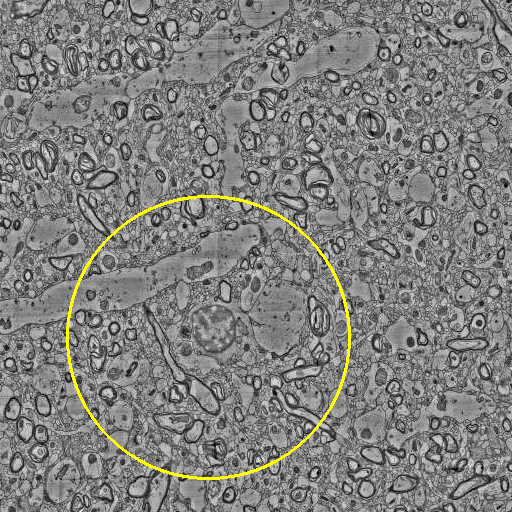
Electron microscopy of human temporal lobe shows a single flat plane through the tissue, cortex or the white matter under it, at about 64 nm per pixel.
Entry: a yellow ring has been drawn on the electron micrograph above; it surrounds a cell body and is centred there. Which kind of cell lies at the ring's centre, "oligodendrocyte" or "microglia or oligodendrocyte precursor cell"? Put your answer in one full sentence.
The cell sitting at the ring's centre is an oligodendrocyte in the micrograph above.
